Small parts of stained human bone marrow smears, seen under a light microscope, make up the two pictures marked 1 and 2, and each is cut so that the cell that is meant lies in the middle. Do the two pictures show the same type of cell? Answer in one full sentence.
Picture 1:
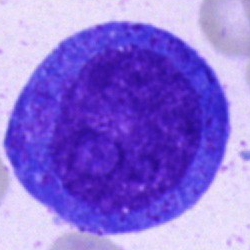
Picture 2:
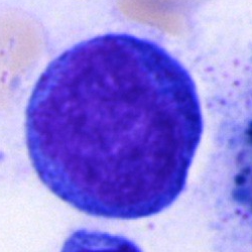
No, they differ: the cell is a promyelocyte in picture 1 and a proerythroblast in picture 2.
